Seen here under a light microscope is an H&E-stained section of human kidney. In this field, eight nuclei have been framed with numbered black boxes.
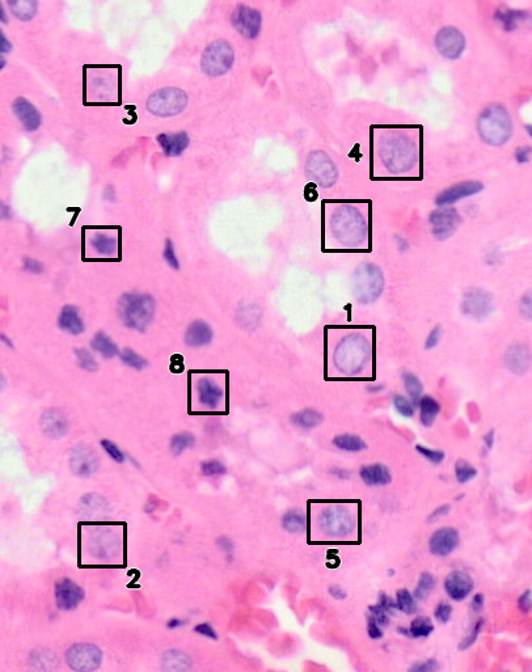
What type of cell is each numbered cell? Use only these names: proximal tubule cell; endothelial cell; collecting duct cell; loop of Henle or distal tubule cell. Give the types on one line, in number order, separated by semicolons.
proximal tubule cell; proximal tubule cell; proximal tubule cell; proximal tubule cell; loop of Henle or distal tubule cell; proximal tubule cell; loop of Henle or distal tubule cell; loop of Henle or distal tubule cell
